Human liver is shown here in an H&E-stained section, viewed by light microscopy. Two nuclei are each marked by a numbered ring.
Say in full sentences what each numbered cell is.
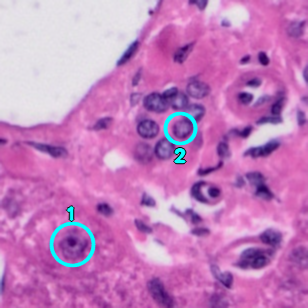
Cell 1 is a hepatocyte. Cell 2 is a cholangiocyte.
